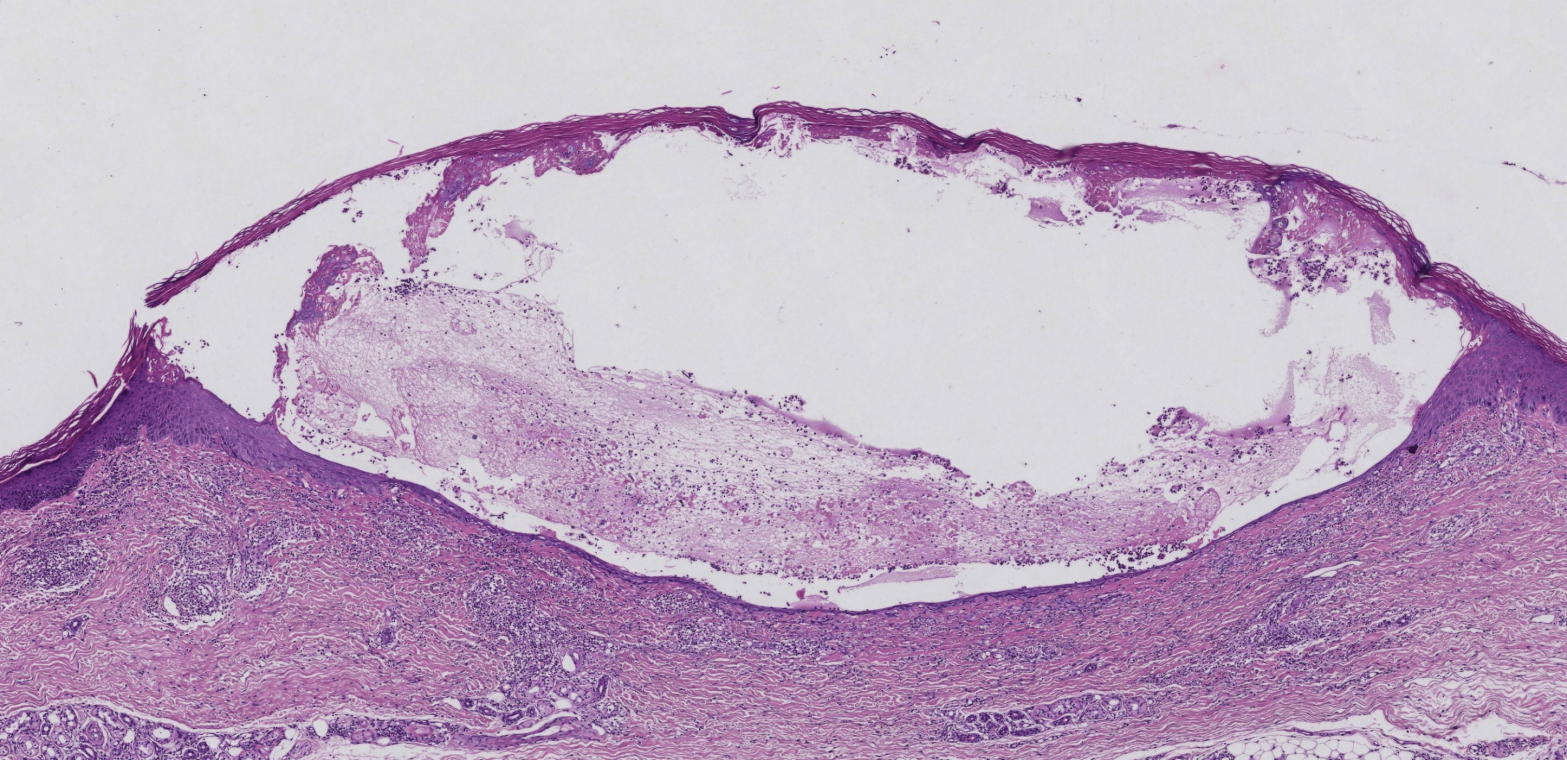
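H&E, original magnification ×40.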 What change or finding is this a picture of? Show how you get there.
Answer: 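Intraepidermal blister. A large dome-shaped cavity lifts the surface of the skin. The roof of the cavity is a thin layer of epidermis and cornified layer. The floor of the cavity is lined by a thin layer of epidermis lying over the dermis. The cavity holds pale pink material with scattered dark cells.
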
